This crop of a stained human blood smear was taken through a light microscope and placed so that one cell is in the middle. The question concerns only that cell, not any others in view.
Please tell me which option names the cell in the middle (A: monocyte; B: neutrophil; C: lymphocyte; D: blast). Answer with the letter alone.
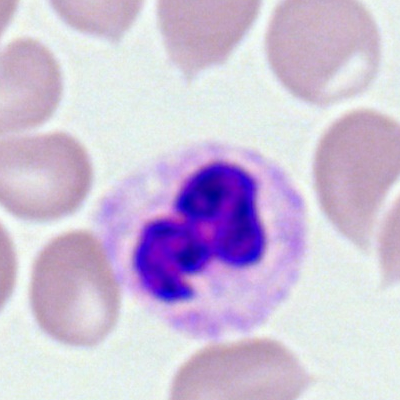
B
